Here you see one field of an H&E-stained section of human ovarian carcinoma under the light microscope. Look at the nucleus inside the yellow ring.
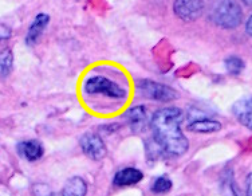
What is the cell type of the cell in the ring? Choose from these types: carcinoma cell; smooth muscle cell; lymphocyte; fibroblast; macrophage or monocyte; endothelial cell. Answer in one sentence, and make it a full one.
In the tissue under study, the cell in the ring is a lymphocyte.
